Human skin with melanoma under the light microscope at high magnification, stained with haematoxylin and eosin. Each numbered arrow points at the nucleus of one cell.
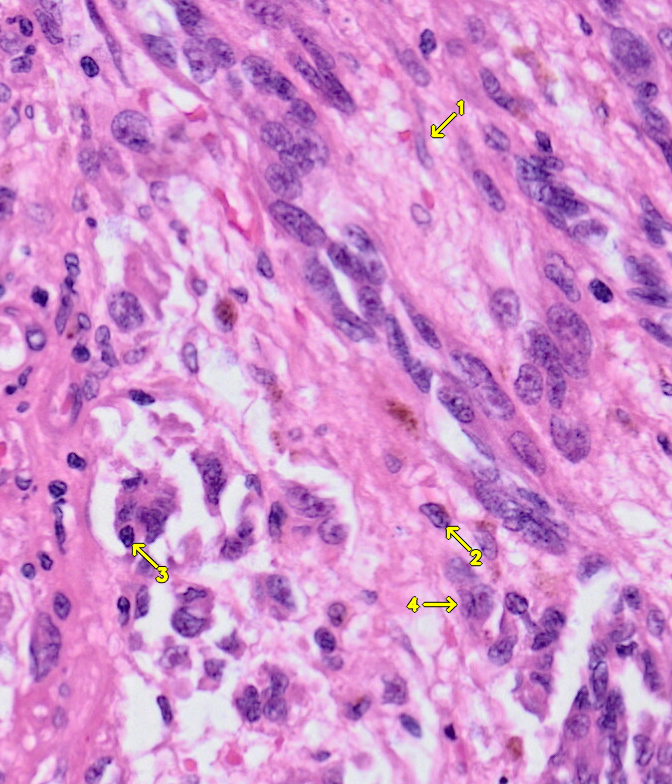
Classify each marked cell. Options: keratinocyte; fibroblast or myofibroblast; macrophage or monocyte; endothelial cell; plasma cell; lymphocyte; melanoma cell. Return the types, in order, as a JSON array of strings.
["fibroblast or myofibroblast", "macrophage or monocyte", "lymphocyte", "melanoma cell"]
